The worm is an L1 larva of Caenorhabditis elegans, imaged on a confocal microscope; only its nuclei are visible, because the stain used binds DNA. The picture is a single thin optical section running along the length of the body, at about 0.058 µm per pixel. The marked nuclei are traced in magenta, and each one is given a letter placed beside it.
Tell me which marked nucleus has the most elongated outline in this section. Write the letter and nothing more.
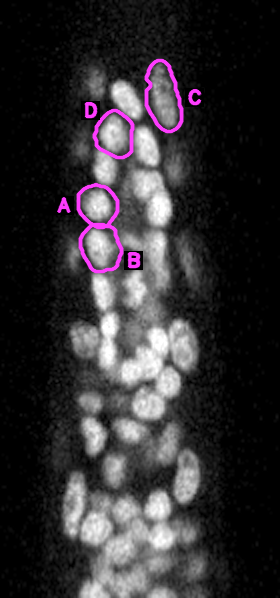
C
